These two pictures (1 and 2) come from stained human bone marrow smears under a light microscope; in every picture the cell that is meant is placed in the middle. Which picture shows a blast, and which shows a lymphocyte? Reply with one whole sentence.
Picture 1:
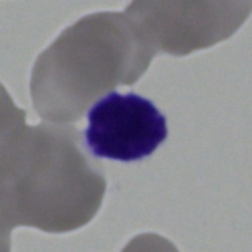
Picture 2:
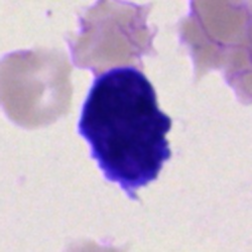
In picture 1 the cell is a lymphocyte; in picture 2, a blast.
